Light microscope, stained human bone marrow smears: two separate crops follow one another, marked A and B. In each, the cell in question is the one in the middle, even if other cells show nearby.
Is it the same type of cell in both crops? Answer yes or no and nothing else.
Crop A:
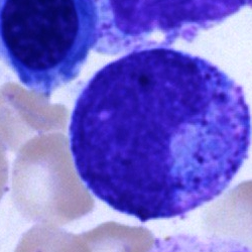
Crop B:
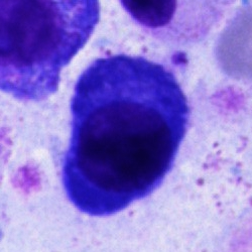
no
